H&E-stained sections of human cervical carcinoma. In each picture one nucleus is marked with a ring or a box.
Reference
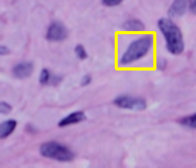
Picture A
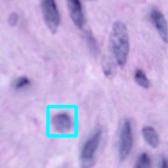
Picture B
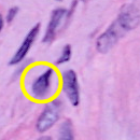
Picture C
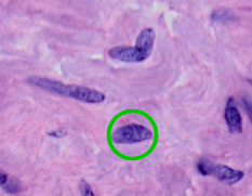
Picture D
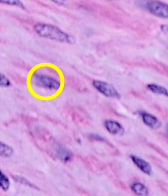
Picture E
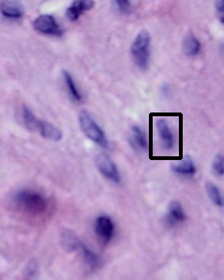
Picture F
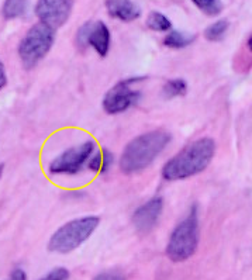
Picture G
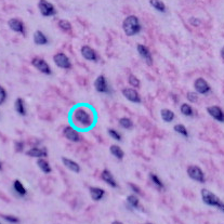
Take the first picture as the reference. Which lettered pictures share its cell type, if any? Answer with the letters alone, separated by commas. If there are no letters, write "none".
A, B, C, E, F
